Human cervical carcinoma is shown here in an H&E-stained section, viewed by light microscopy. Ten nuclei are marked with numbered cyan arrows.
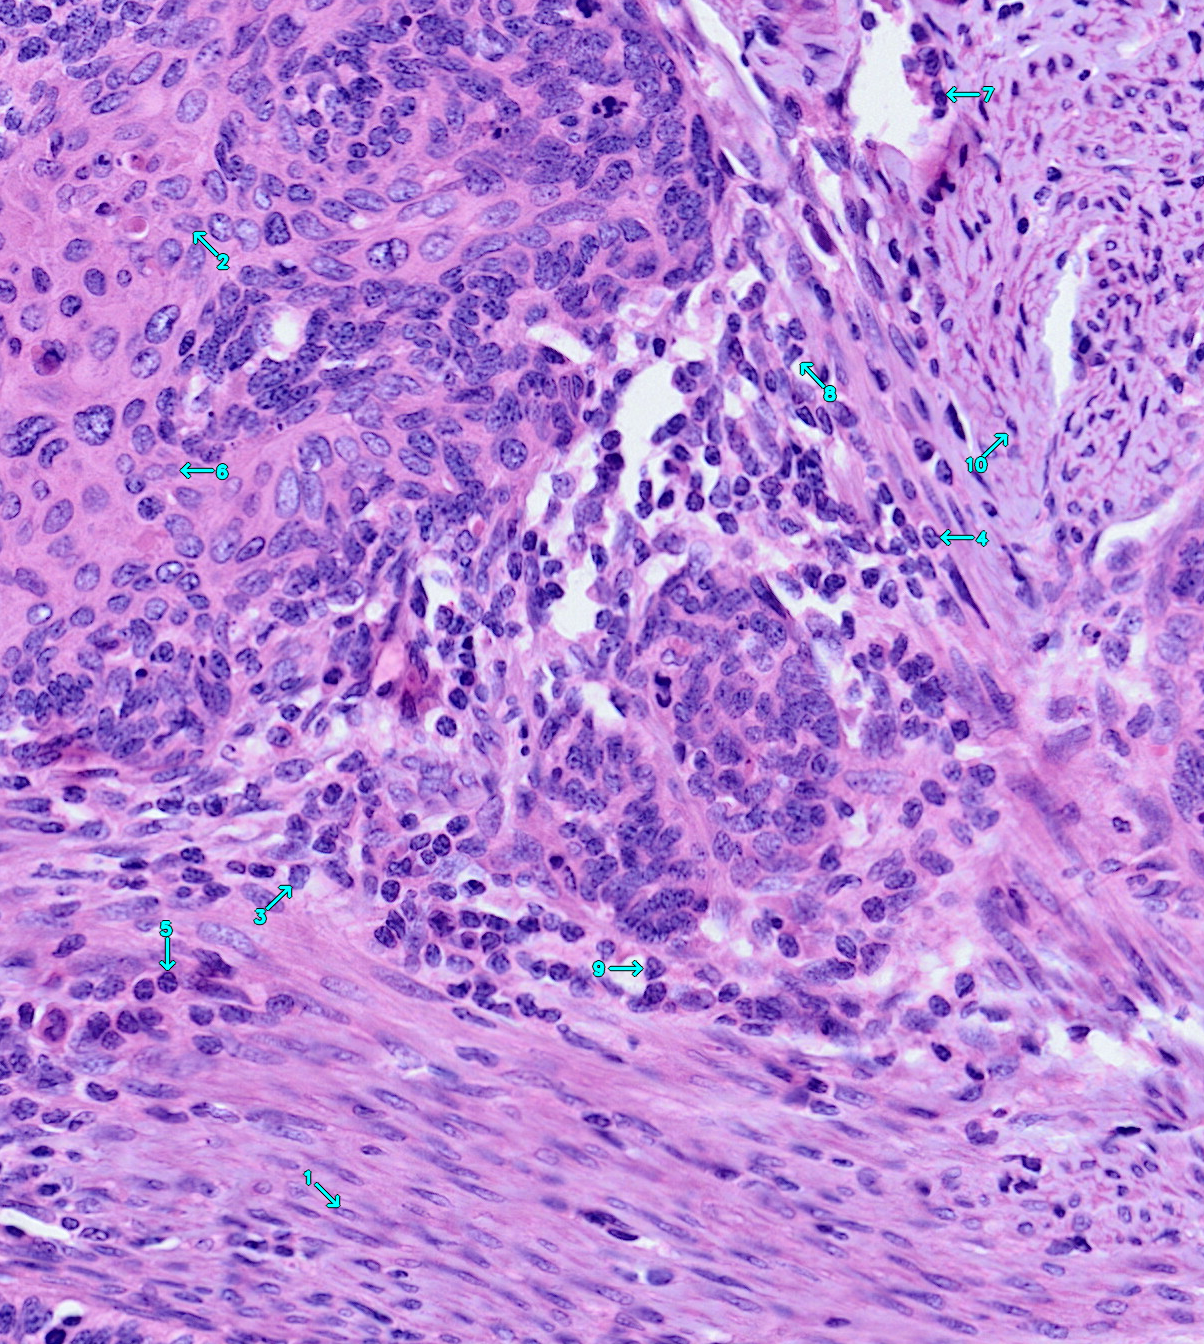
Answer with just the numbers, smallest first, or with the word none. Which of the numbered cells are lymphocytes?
3, 4, 5, 7, 8, 9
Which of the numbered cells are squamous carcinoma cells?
2, 6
